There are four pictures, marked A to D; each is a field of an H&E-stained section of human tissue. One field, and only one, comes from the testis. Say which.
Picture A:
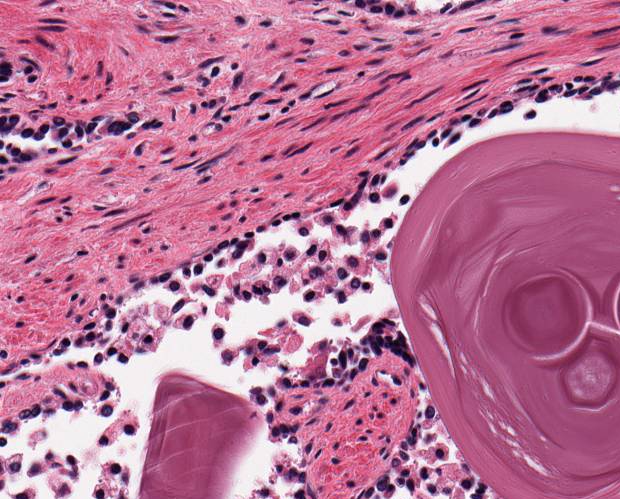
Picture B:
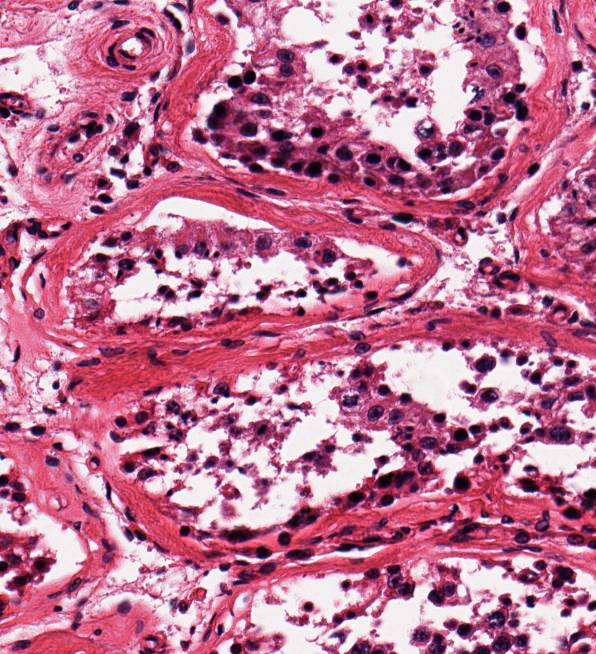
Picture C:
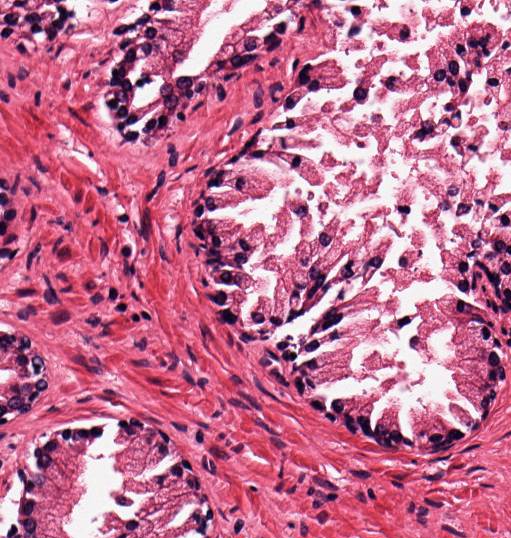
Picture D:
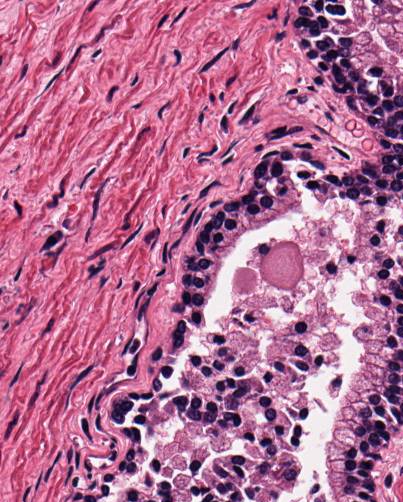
B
